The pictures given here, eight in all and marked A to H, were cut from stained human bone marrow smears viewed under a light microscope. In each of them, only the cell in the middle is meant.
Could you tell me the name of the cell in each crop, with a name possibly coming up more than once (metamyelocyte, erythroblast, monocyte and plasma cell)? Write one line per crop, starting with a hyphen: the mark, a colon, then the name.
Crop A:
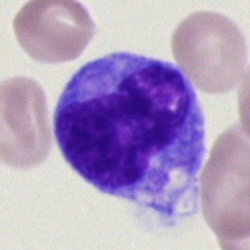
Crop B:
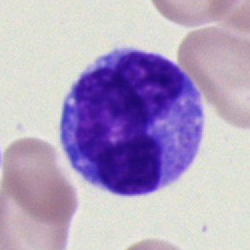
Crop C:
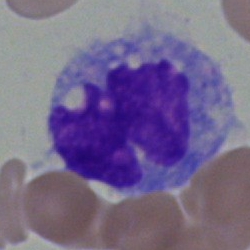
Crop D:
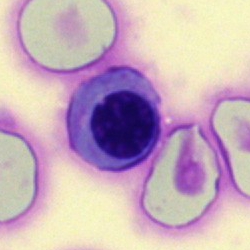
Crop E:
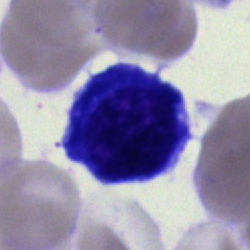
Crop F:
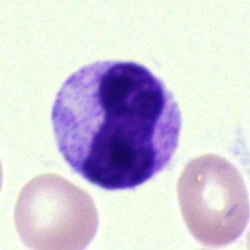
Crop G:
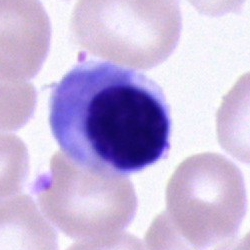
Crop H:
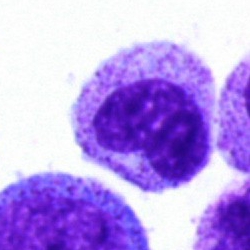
- A: monocyte
- B: monocyte
- C: monocyte
- D: erythroblast
- E: plasma cell
- F: metamyelocyte
- G: erythroblast
- H: metamyelocyte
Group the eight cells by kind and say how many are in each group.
monocyte: 3
erythroblast: 2
metamyelocyte: 2
plasma cell: 1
